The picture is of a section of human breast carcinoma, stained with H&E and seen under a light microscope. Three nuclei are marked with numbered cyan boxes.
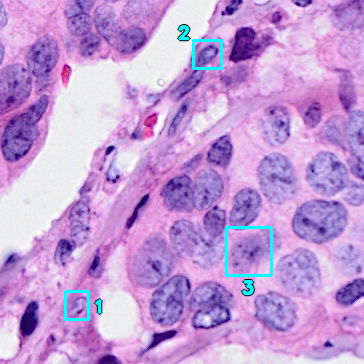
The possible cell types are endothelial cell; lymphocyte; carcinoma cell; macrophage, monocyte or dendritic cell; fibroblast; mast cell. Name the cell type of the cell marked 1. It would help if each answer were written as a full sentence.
The nucleus labelled 1 belongs to an endothelial cell.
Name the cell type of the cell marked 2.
The cell numbered 2 represents an endothelial cell.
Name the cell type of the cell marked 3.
The cell that bears the number 3 is a carcinoma cell.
